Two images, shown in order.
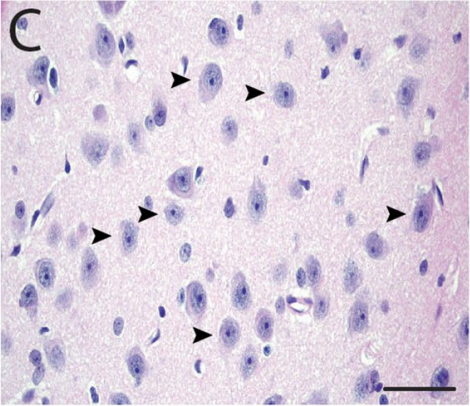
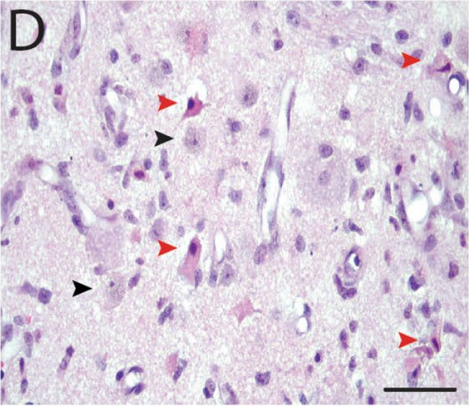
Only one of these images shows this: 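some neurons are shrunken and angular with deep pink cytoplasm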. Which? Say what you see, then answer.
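Second image: several small, angular cells with deep pink cytoplasm and dark nuclei are scattered among paler cells. First image: the neurons are uniformly rounded with pale bluish cytoplasm and open nuclei with clear nucleoli.
Conclusion: the second image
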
